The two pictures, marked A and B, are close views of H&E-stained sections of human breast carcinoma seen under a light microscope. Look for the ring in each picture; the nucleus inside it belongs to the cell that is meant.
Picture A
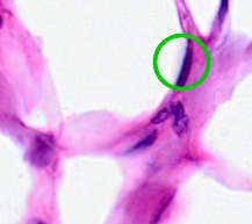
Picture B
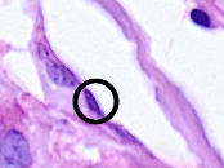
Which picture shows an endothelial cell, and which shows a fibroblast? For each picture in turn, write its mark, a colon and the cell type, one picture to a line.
A: endothelial cell
B: fibroblast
